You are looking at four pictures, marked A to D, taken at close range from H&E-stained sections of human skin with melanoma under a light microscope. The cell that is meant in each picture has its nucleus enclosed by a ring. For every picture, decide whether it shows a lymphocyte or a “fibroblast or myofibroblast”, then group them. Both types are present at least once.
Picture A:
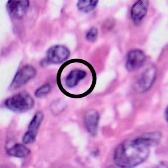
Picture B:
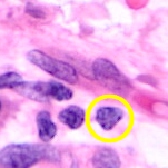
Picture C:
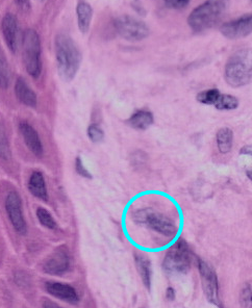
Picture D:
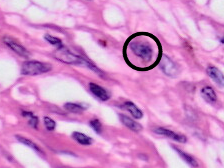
A: lymphocyte
B: lymphocyte
C: fibroblast or myofibroblast
D: lymphocyte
